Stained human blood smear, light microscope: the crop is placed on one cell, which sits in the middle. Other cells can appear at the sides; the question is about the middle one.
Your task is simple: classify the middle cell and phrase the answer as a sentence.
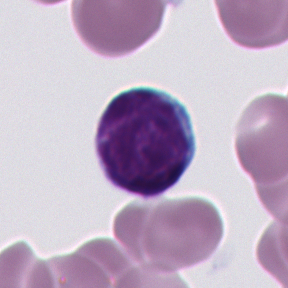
The central cell, amid any neighbouring cells, is a lymphocyte.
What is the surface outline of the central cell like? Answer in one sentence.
Smooth edges only, with no spikes, blebs, or other projections.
